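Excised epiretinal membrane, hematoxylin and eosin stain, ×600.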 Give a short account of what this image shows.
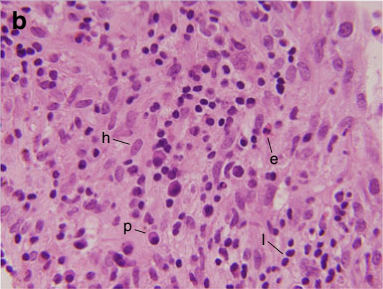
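Small lymphocytes with round, dark, compact nuclei and scant cytoplasm are scattered throughout. Larger histiocytes with oval, paler nuclei and ample pale pink cytoplasm are frequent. The cells sit in a loose pink stroma without any orderly layering.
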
